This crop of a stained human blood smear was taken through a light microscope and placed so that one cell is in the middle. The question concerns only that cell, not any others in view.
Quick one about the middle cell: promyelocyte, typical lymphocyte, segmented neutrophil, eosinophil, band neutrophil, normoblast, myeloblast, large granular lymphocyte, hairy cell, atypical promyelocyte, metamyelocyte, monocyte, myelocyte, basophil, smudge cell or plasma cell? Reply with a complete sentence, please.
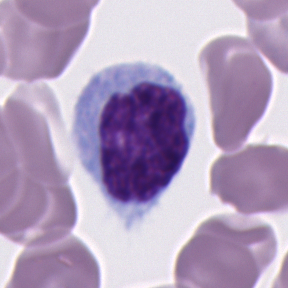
The cell in the middle of this crop is a monocyte.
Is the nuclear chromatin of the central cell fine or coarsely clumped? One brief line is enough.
The chromatin of this one is coarsely clumped.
